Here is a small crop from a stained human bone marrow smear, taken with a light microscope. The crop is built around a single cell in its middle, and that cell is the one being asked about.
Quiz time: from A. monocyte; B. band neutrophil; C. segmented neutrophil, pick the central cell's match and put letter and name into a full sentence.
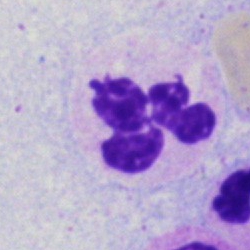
The centrally located cell is a segmented neutrophil, making option C the correct choice.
